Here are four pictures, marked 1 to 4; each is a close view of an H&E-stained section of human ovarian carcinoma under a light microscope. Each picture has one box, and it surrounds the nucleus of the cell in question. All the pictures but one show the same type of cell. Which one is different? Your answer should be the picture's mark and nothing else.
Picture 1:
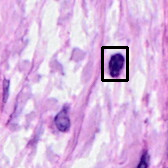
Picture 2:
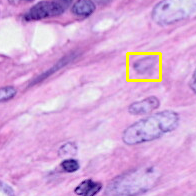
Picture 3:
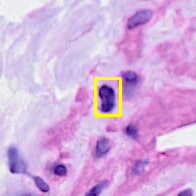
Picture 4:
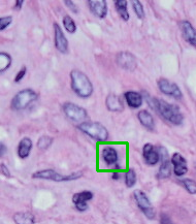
2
